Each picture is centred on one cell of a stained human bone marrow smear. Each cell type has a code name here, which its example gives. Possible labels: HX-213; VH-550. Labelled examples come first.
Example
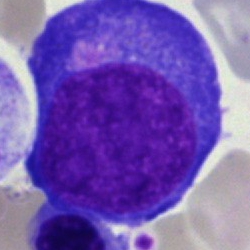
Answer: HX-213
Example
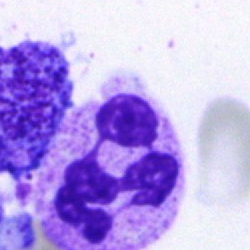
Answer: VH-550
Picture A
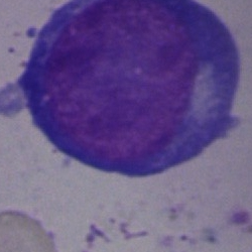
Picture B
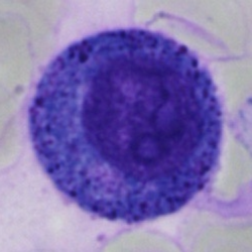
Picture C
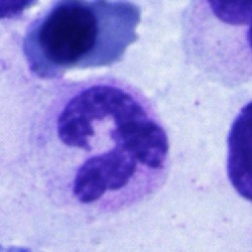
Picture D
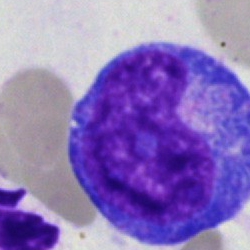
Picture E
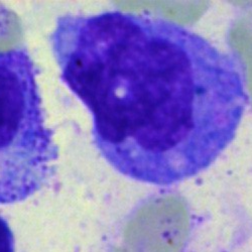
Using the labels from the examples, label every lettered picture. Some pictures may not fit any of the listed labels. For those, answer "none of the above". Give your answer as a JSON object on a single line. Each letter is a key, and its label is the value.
{"A": "HX-213", "B": "HX-213", "C": "VH-550", "D": "none of the above", "E": "none of the above"}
